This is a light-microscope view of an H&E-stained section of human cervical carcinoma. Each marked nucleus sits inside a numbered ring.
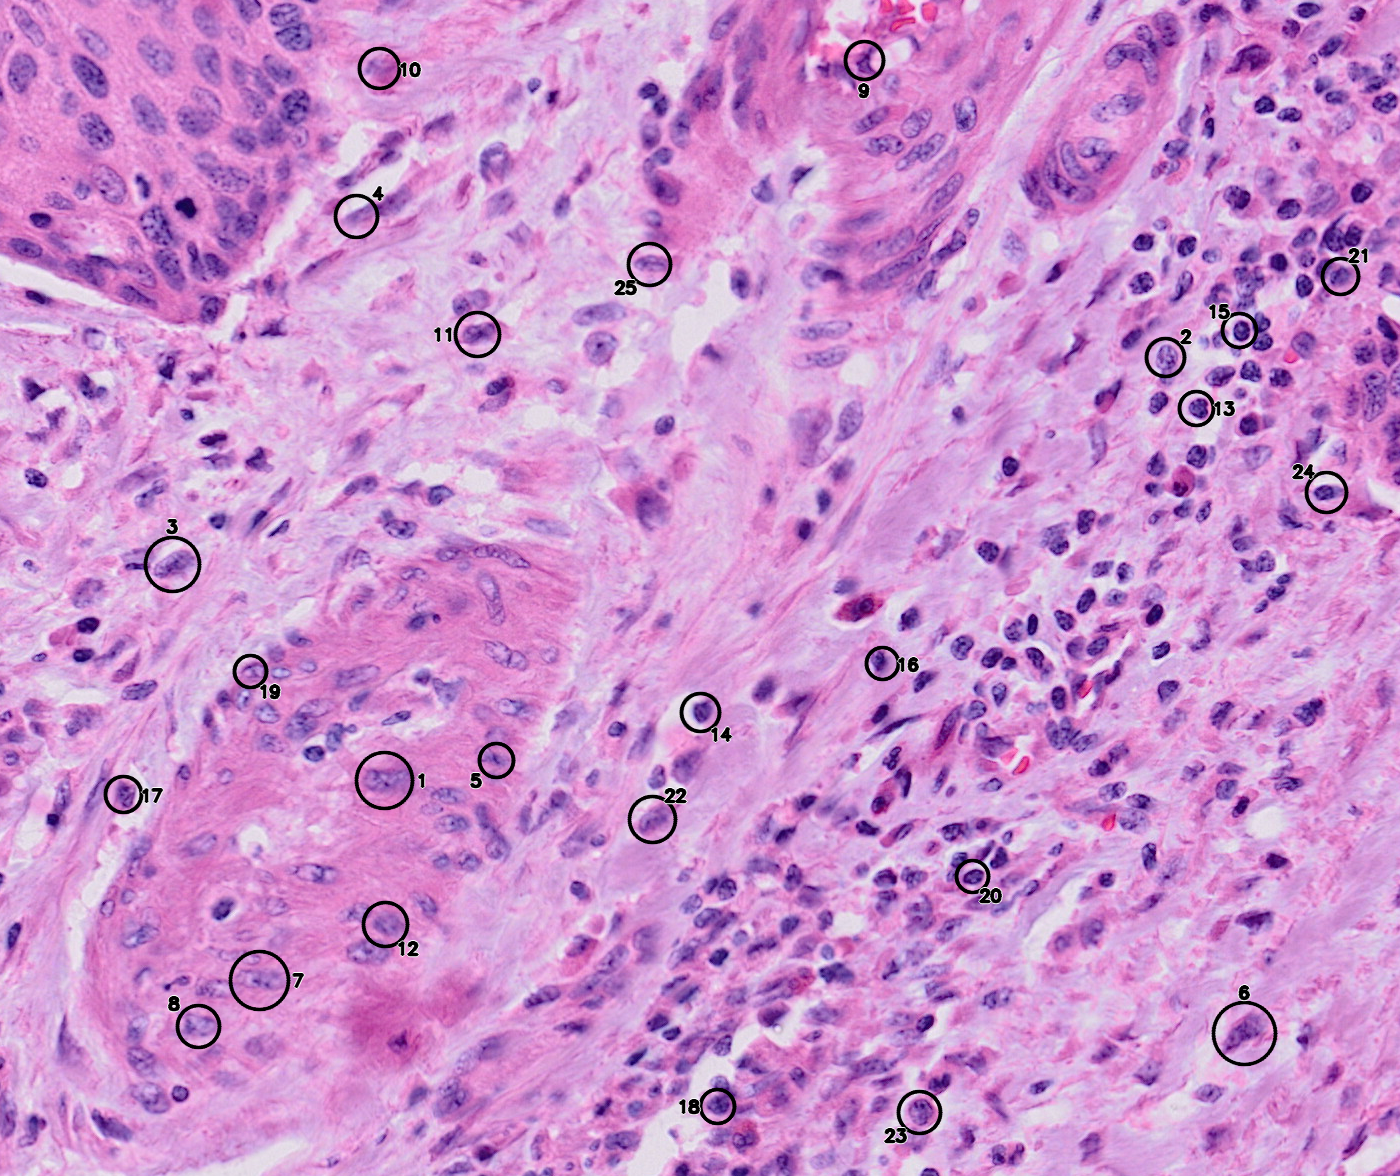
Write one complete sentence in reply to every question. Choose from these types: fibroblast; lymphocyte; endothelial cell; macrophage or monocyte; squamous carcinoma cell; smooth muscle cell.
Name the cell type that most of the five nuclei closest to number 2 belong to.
Of the five nuclei nearest to number 2, most belong to lymphocytes.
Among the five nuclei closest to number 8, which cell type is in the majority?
Of the five nuclei nearest to number 8, most belong to smooth muscle cells.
